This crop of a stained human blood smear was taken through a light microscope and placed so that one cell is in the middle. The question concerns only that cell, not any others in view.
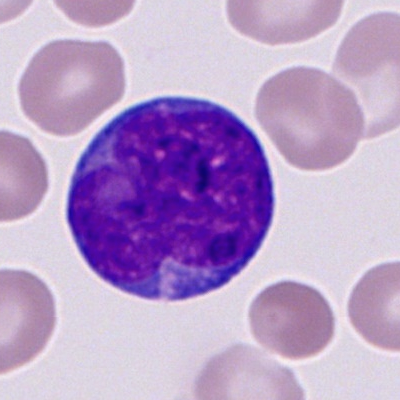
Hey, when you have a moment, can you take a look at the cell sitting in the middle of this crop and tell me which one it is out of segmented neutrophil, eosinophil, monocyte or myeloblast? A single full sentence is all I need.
Within this crop, a myeloblast occupies the central position.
